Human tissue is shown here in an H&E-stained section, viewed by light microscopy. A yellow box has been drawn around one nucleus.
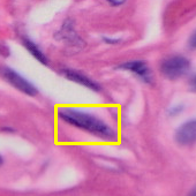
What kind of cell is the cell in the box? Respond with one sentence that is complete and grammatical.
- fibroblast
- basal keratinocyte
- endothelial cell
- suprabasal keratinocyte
With respect to cell type, the cell in the box is an endothelial cell.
